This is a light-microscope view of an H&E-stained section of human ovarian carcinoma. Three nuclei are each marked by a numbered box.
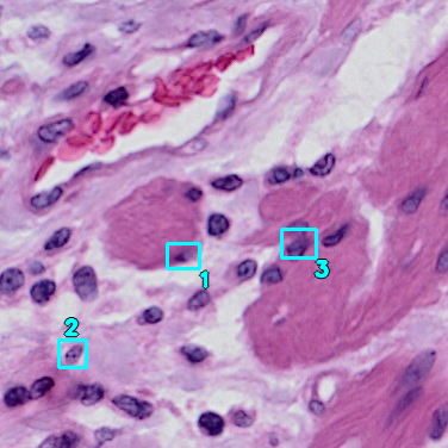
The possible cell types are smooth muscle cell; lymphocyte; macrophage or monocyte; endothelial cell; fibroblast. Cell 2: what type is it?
lymphocyte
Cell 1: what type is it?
smooth muscle cell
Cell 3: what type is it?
smooth muscle cell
